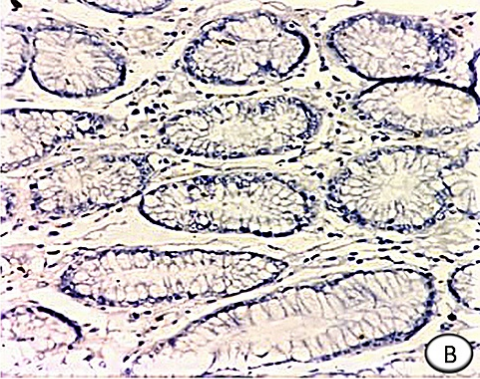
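This is glandular mucosa with the glands cut across as round and oval profiles. Each gland is lined by a single layer of tall columnar cells whose dark blue nuclei sit at the base. The cytoplasm above the nuclei is pale and clear. Between the glands lies loose lamina propria with scattered small nuclei.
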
